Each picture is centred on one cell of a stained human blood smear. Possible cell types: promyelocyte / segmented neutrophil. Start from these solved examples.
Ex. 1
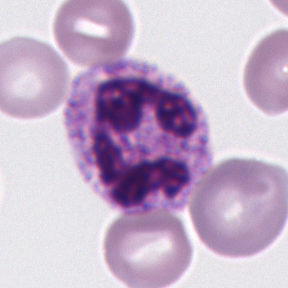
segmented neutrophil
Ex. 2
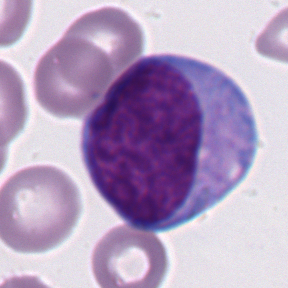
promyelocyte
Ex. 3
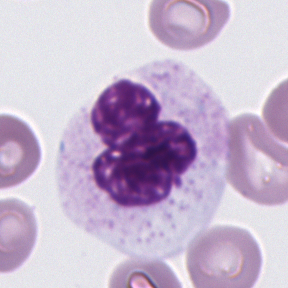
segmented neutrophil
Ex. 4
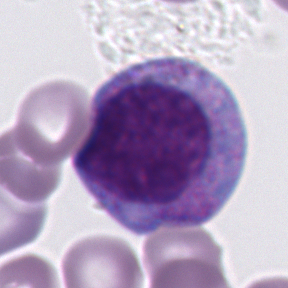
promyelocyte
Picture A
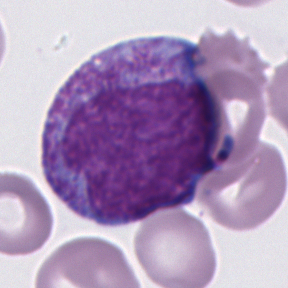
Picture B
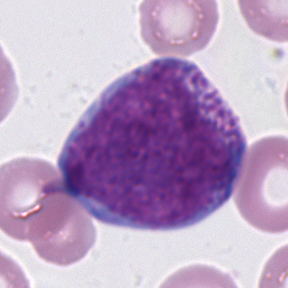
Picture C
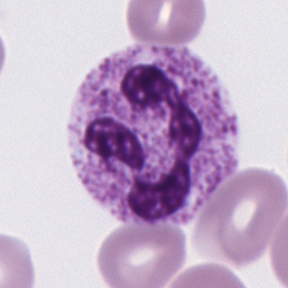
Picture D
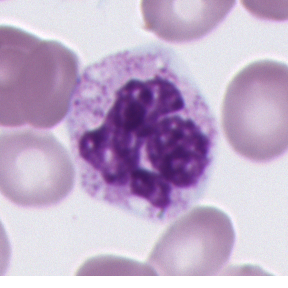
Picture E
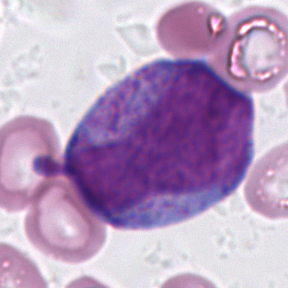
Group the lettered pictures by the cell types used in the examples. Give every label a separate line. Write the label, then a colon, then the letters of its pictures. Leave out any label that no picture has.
promyelocyte: A, B, E
segmented neutrophil: C, D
